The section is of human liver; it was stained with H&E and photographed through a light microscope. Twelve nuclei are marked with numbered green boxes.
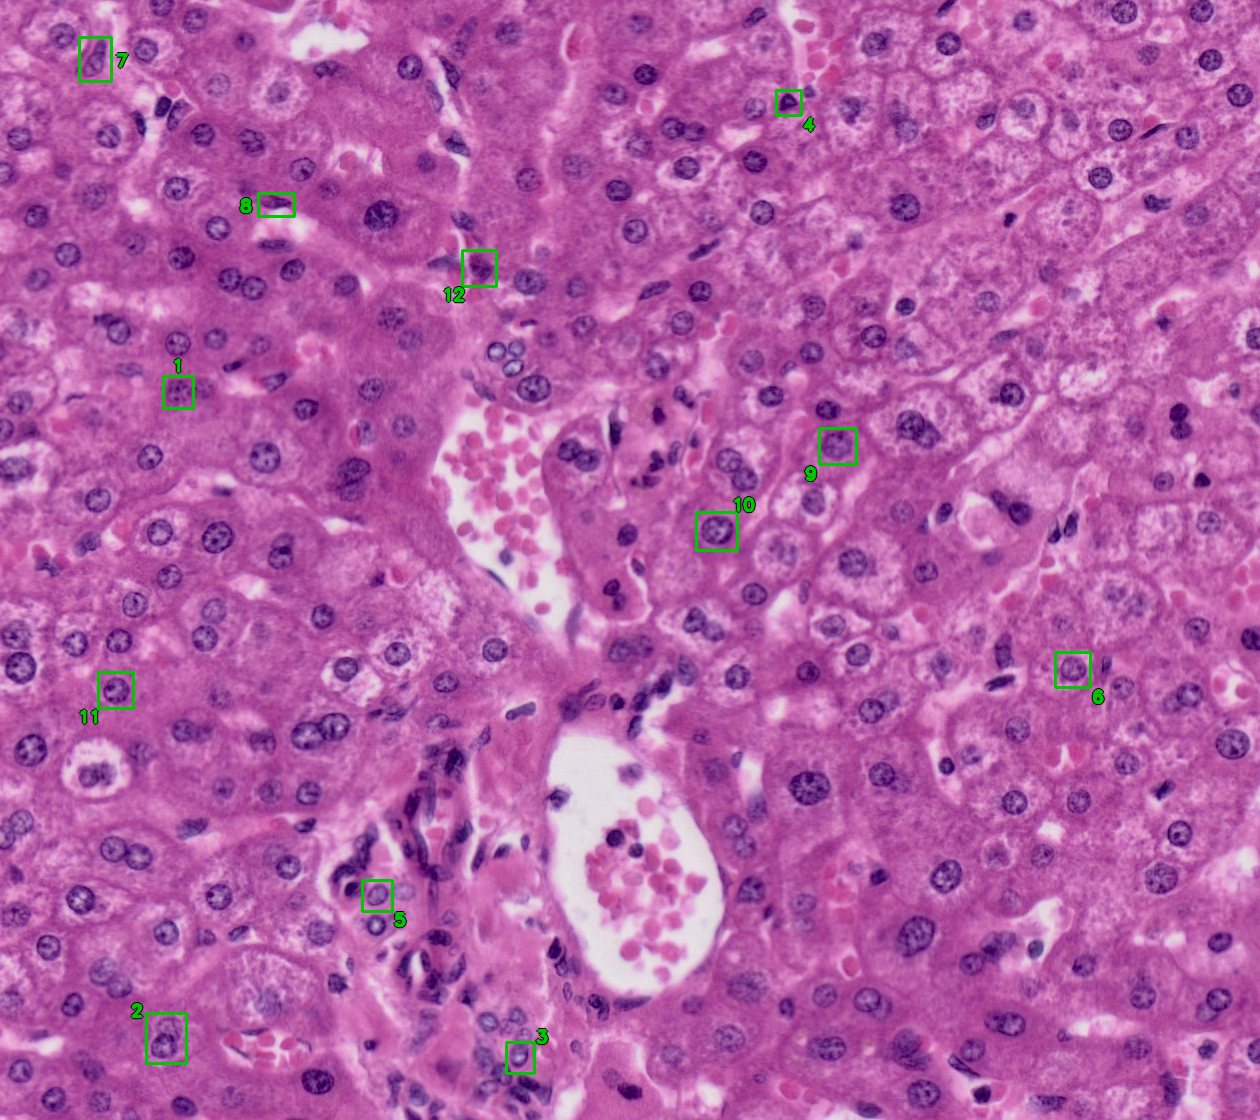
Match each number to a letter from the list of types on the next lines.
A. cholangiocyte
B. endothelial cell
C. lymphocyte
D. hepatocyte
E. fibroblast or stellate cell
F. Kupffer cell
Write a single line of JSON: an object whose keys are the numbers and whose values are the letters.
{"1": "D", "2": "D", "3": "A", "4": "E", "5": "A", "6": "D", "7": "F", "8": "B", "9": "D", "10": "D", "11": "D", "12": "E"}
